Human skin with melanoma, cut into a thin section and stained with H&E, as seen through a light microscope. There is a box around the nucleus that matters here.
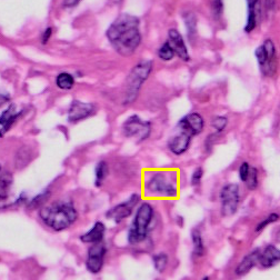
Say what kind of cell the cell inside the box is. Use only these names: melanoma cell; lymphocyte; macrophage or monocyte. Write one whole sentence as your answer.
Placed in its cell category, the cell inside the box is a macrophage or monocyte.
